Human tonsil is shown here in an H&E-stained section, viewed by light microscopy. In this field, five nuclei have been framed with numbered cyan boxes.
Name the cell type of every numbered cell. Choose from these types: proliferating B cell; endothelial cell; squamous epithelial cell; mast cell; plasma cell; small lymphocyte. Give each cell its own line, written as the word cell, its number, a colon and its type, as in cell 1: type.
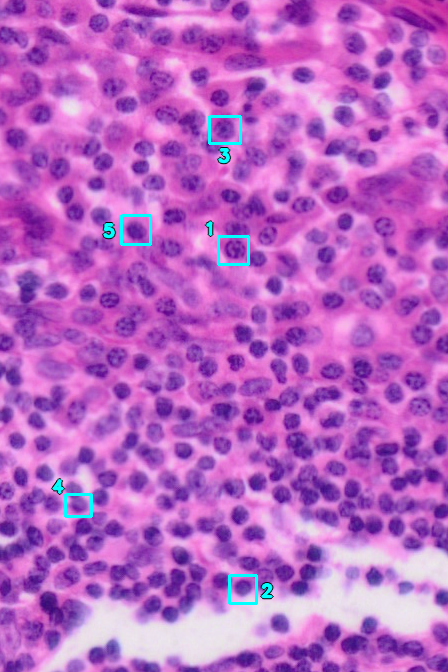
cell 1: plasma cell
cell 2: small lymphocyte
cell 3: plasma cell
cell 4: small lymphocyte
cell 5: plasma cell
